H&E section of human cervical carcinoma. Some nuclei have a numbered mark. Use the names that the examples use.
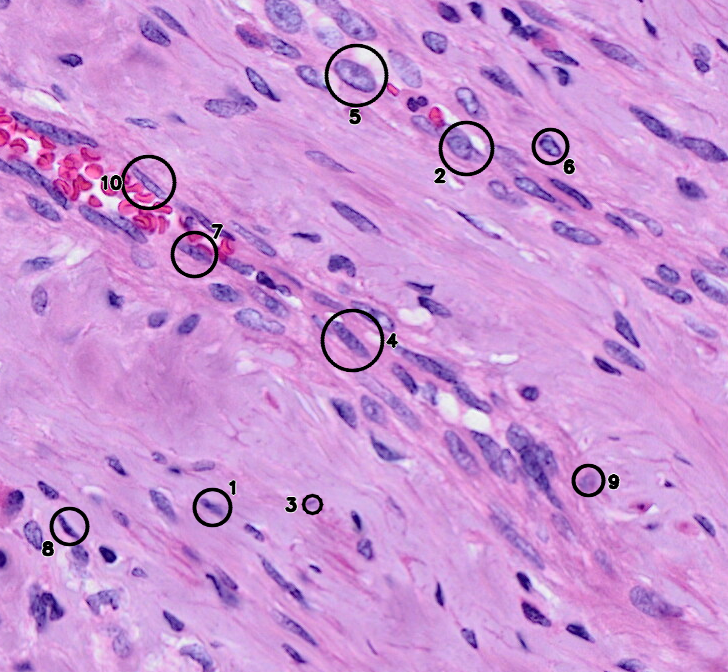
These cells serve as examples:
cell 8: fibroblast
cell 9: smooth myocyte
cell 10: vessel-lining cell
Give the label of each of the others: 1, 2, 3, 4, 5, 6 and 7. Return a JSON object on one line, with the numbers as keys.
{"1": "fibroblast", "2": "vessel-lining cell", "3": "smooth myocyte", "4": "vessel-lining cell", "5": "vessel-lining cell", "6": "smooth myocyte", "7": "vessel-lining cell"}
